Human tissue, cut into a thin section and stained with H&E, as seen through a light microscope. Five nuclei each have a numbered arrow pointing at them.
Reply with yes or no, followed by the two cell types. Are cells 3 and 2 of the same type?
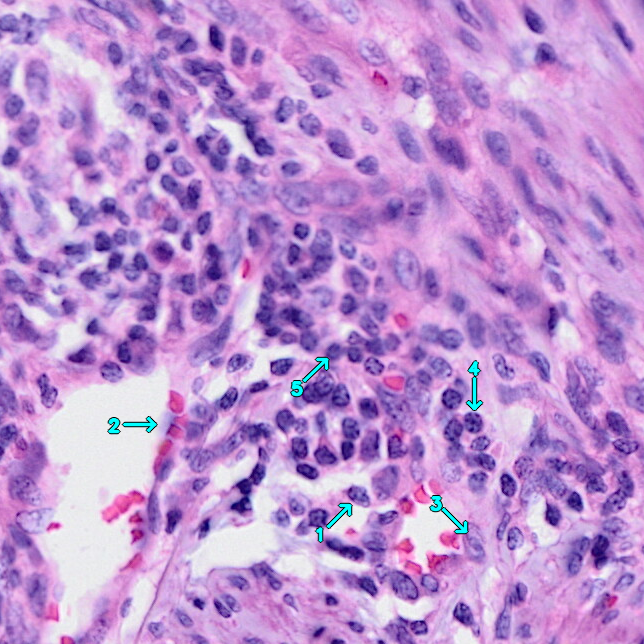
Yes, cells 3 and 2 fall into the same group, both being endothelial cells.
